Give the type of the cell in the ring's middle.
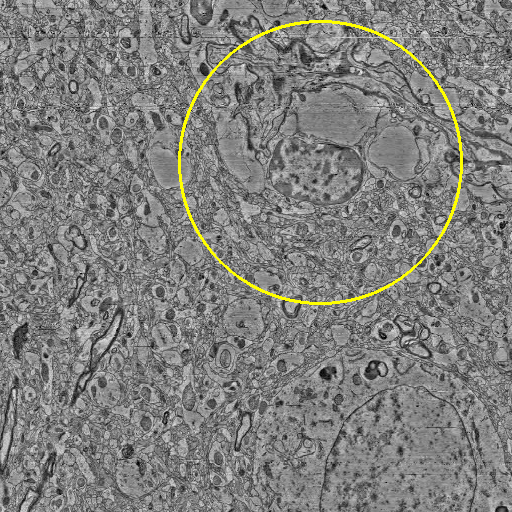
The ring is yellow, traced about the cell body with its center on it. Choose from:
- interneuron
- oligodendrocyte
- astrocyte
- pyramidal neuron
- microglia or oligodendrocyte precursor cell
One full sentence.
Here, a microglial cell or oligodendrocyte precursor cell is the cell lying at the center of the yellow ring.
